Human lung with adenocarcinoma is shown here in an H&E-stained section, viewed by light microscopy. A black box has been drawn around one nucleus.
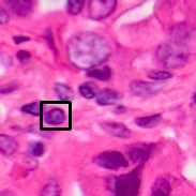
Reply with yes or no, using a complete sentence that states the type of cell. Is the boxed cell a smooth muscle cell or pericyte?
No, in this tissue section, the boxed cell is not a smooth muscle cell or pericyte but a lymphocyte.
